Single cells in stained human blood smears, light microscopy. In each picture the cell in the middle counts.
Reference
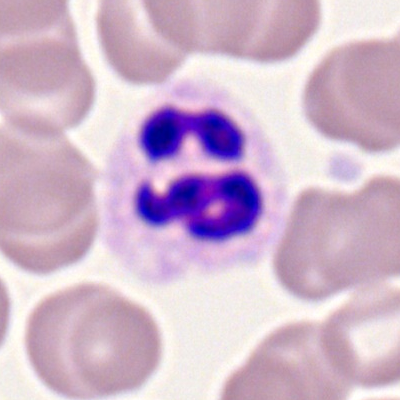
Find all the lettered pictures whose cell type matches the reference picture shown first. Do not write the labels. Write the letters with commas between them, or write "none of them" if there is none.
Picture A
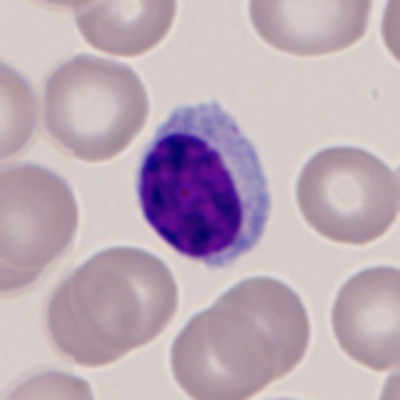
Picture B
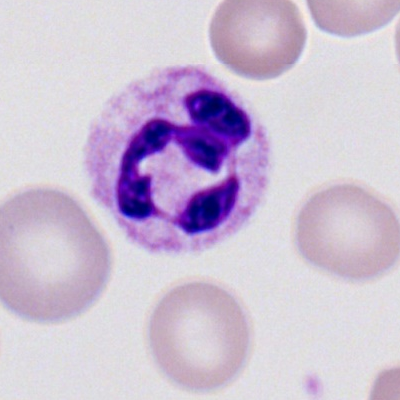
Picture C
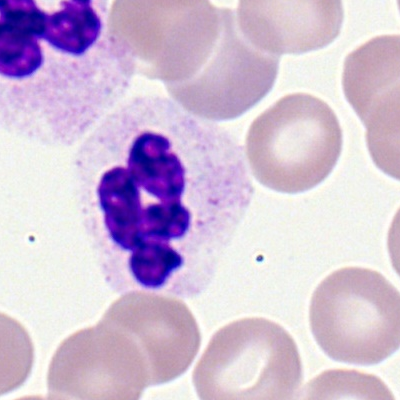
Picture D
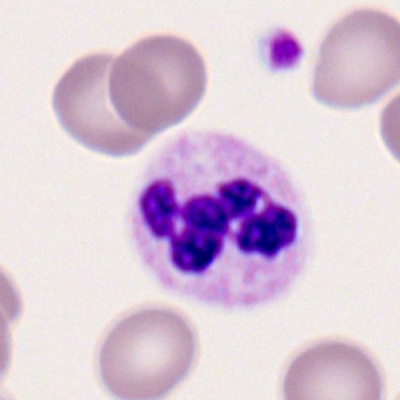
B, C, D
